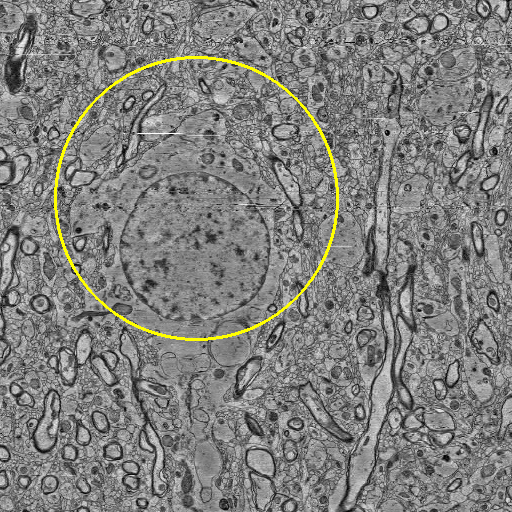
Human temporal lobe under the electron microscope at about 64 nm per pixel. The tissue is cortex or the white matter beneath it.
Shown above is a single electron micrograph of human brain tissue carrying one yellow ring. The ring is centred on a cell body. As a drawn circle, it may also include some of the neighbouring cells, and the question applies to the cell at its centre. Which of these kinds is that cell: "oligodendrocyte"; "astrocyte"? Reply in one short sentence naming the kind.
The cell marked by the ring is an astrocyte.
